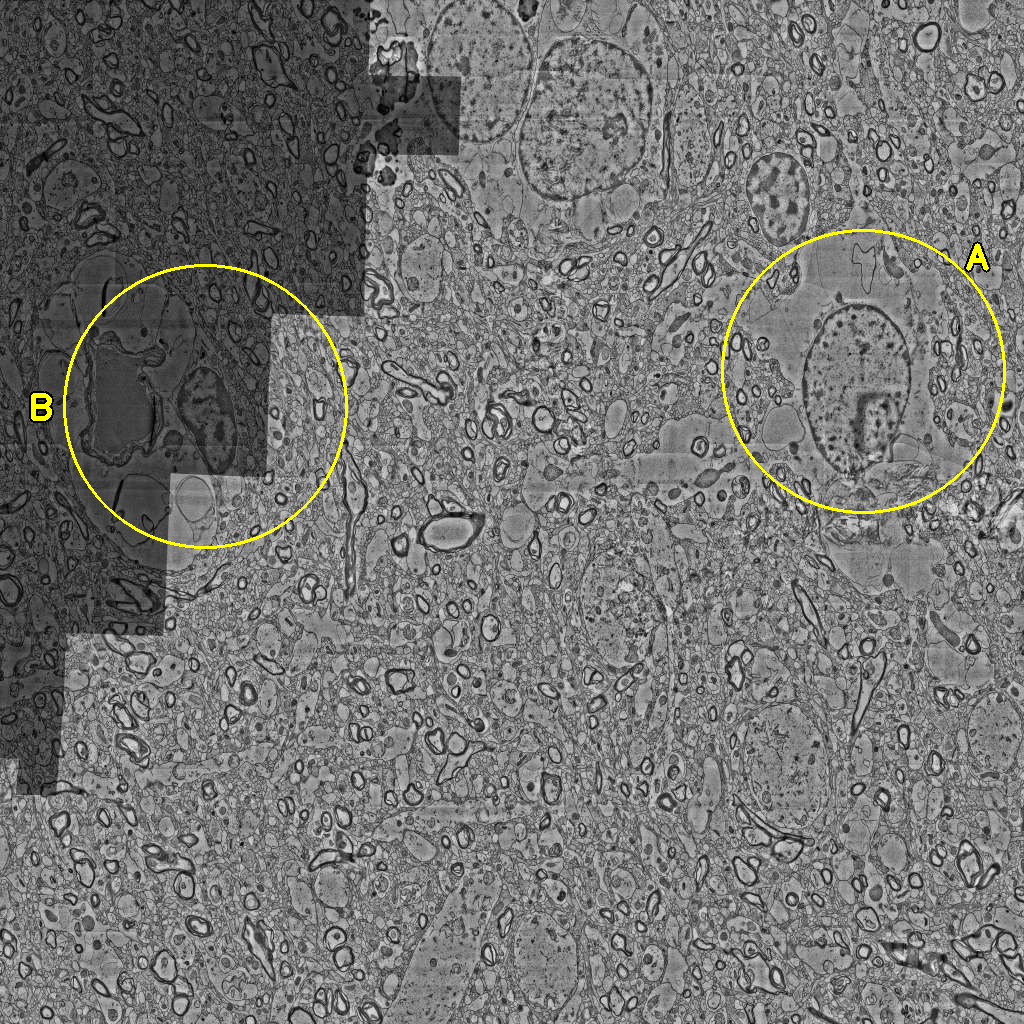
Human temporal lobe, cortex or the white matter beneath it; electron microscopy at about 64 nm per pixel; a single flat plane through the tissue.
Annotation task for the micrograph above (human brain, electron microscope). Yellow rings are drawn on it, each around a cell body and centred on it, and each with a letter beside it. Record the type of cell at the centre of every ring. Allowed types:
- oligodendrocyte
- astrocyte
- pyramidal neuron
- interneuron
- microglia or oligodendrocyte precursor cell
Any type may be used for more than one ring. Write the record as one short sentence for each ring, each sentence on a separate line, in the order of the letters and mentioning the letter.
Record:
The cell centred in ring A is an astrocyte.
The cell centred in ring B is a microglial cell or oligodendrocyte precursor cell.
